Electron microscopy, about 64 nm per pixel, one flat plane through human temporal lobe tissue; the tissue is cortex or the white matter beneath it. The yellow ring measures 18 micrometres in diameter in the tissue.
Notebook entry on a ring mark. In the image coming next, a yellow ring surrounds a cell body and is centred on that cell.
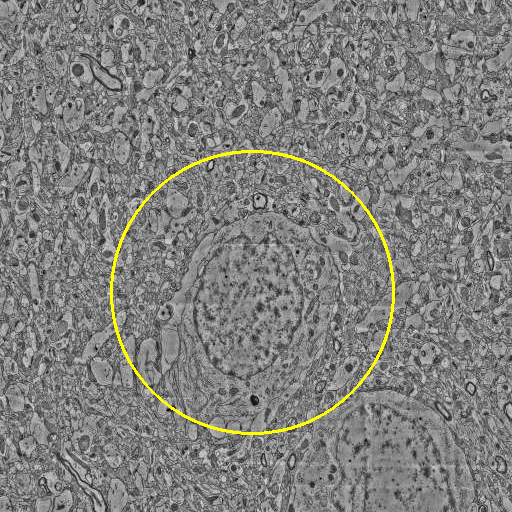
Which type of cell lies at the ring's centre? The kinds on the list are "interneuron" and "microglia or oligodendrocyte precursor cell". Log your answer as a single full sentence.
Centred in the yellow ring is an interneuron, the cell recorded for this image.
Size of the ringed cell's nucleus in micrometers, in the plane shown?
Approximately 9 x 7 micrometres in this plane.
